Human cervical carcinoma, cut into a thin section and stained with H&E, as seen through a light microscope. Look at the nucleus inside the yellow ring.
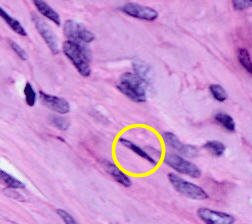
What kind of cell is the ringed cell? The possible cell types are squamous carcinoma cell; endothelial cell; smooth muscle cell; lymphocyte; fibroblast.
fibroblast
